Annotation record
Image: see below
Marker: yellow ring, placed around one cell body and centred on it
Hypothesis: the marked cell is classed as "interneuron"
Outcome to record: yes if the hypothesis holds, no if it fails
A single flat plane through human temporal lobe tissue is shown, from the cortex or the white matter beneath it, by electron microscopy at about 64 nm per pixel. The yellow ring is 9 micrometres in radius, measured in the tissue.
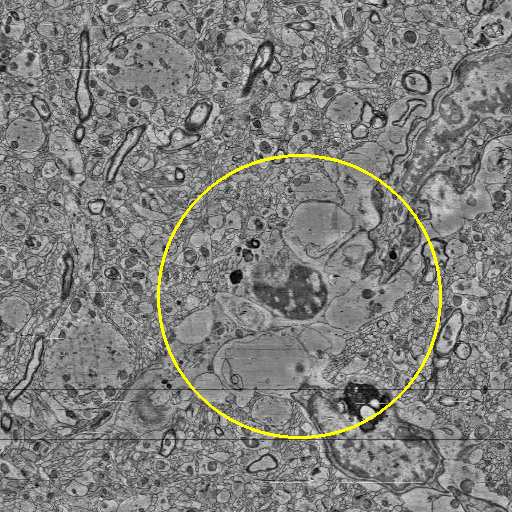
no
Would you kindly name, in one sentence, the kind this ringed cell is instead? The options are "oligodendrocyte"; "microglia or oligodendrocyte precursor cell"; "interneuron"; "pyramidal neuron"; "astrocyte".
Instead, the cell at the centre of the yellow ring is a microglial cell or oligodendrocyte precursor cell.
